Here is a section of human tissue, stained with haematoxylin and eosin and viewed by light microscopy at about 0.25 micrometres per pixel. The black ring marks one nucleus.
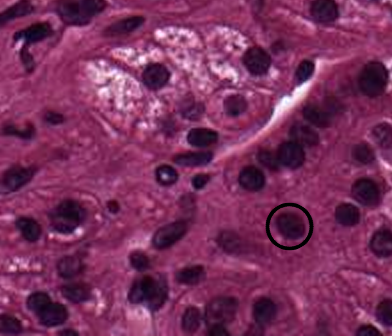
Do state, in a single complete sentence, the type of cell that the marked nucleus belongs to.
The mark falls on a nucleus belonging to an adrenal cortical cell.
